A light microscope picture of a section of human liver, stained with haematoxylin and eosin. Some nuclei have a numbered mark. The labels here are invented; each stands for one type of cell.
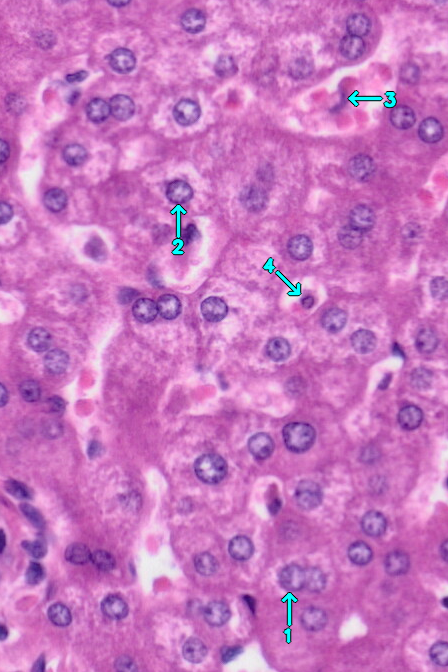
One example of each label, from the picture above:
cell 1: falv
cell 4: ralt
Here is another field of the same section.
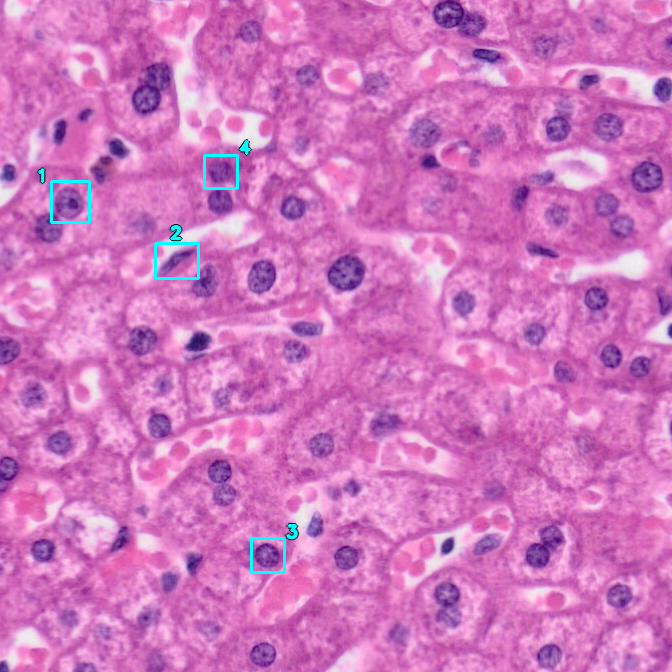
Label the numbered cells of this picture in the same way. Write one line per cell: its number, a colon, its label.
1: falv
2: ralt
3: falv
4: falv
